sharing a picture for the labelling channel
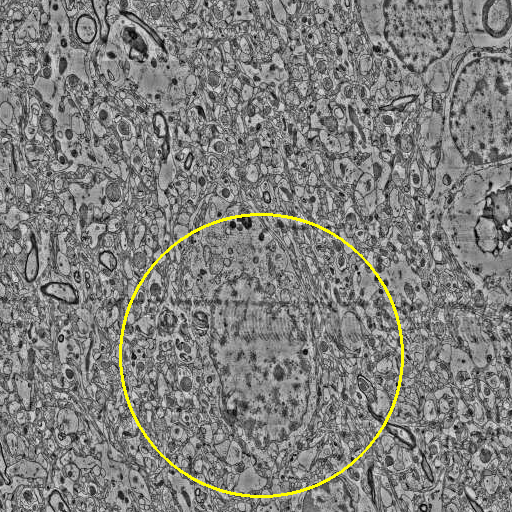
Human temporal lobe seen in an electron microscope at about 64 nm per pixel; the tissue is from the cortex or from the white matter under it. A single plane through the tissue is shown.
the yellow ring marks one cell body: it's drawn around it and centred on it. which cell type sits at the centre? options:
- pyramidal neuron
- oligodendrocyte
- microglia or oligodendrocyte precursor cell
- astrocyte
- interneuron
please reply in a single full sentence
In the picture, the cell at the ring's centre is an interneuron, going by the list.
